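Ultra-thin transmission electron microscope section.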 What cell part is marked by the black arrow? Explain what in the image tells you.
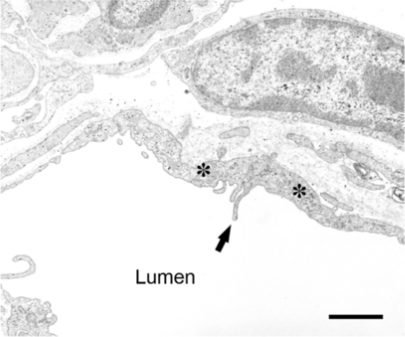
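A short thin flap of cell membrane projects into the lumen at the edge of a lining cell.
Answer: marginal fold at the cellular edge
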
